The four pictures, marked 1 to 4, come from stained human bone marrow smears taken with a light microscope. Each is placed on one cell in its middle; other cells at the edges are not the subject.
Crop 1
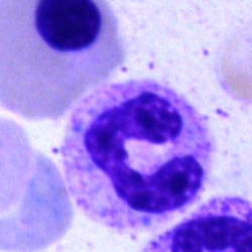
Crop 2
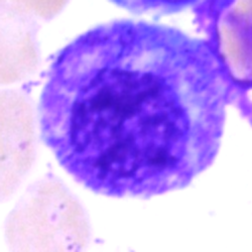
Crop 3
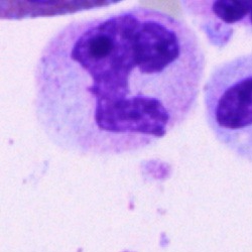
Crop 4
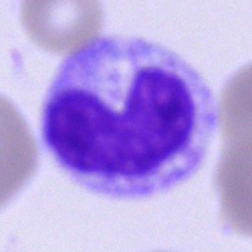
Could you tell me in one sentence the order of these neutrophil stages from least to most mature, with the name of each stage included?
Once sorted from least to most mature, the sequence is crop 2 (a myelocyte), crop 4 (a metamyelocyte), crop 1 (a band neutrophil) and crop 3 (a segmented neutrophil).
